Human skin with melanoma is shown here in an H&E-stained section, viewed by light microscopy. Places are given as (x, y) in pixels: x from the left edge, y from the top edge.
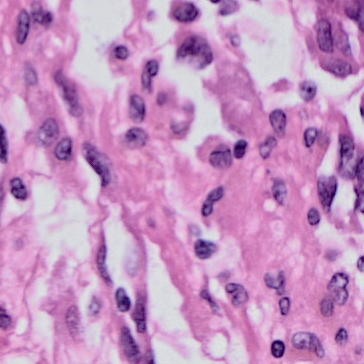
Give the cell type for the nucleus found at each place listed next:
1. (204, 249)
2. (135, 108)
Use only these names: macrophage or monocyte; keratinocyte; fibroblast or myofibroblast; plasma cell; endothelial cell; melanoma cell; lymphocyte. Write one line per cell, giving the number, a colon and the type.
1: lymphocyte
2: macrophage or monocyte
